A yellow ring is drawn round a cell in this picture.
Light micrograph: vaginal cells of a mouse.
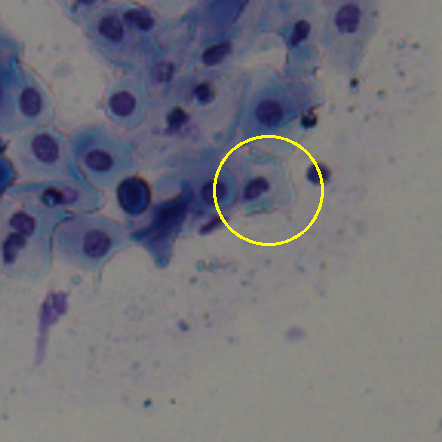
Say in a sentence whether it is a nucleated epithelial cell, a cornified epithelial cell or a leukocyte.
The cell in the ring is a nucleated epithelial cell.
